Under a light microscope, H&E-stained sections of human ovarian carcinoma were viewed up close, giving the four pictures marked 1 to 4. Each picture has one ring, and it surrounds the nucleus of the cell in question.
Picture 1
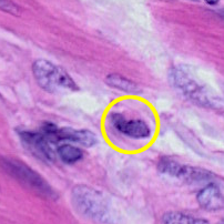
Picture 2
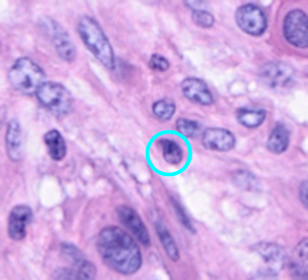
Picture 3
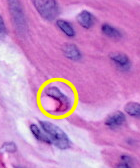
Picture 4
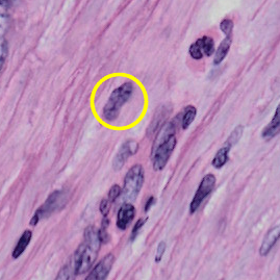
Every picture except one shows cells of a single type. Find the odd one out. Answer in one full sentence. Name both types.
The others show “macrophages or monocytes”, but picture 3 shows an endothelial cell.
